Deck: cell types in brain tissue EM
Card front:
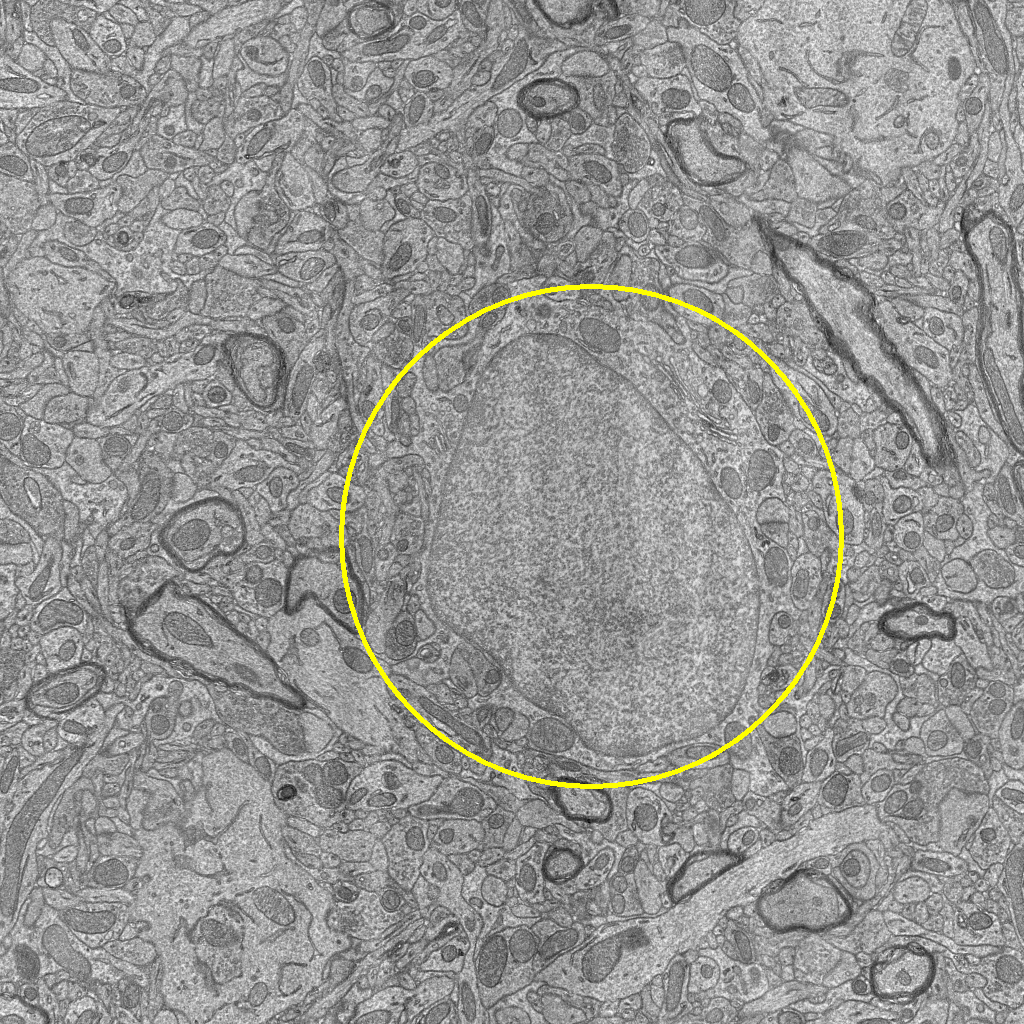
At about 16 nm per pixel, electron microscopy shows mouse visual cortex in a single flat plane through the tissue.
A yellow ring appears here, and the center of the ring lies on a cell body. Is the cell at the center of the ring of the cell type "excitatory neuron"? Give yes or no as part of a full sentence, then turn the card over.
No, on this card the center of the yellow ring lies on a cell of a different type.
